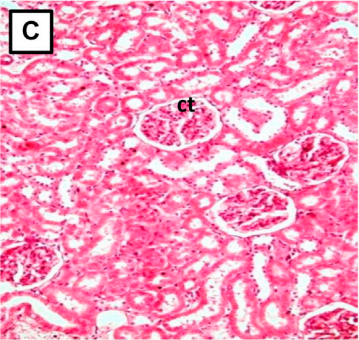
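This is kidney cortex in a pink-stained section, showing glomeruli among many renal tubules. Several glomeruli appear as rounded tufts of capillaries with scattered dark nuclei. Each tuft lies within a thin capsule and is separated from it by a narrow clear space. Around them, tubules cut in cross and oblique section are lined by cuboidal cells with pink cytoplasm and small dark nuclei.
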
